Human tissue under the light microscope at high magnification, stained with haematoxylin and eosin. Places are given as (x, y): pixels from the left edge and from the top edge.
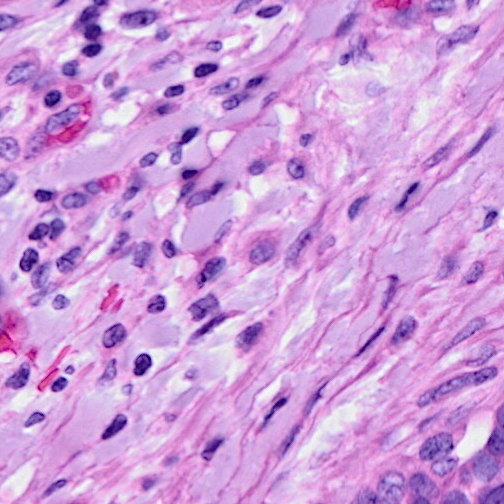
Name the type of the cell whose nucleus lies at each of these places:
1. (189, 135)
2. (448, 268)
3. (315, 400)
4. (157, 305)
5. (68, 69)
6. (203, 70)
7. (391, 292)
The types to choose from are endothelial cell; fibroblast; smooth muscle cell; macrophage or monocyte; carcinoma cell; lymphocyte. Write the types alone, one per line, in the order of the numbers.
lymphocyte
fibroblast
fibroblast
lymphocyte
lymphocyte
lymphocyte
fibroblast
